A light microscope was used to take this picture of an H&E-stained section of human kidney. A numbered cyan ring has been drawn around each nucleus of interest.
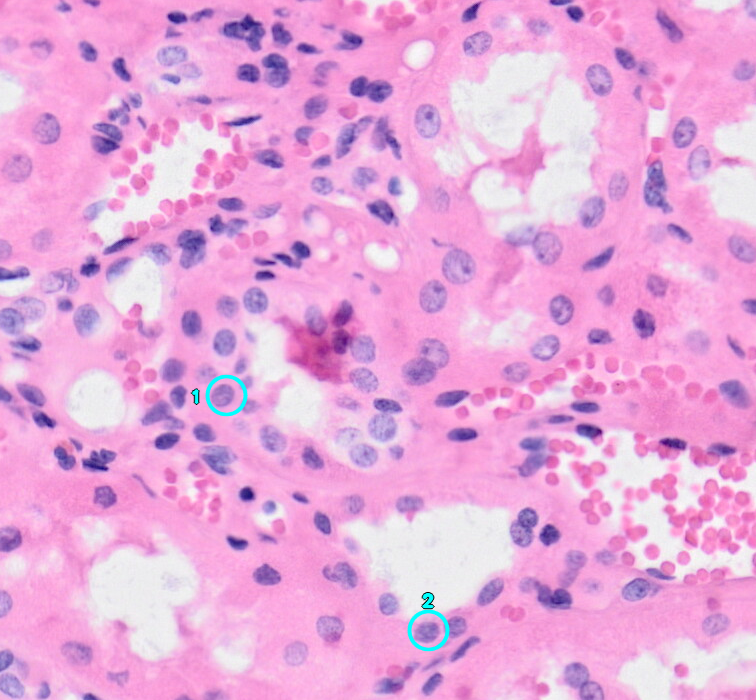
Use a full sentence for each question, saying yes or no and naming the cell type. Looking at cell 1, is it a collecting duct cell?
Yes, number 1 in this section denotes a collecting duct cell.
